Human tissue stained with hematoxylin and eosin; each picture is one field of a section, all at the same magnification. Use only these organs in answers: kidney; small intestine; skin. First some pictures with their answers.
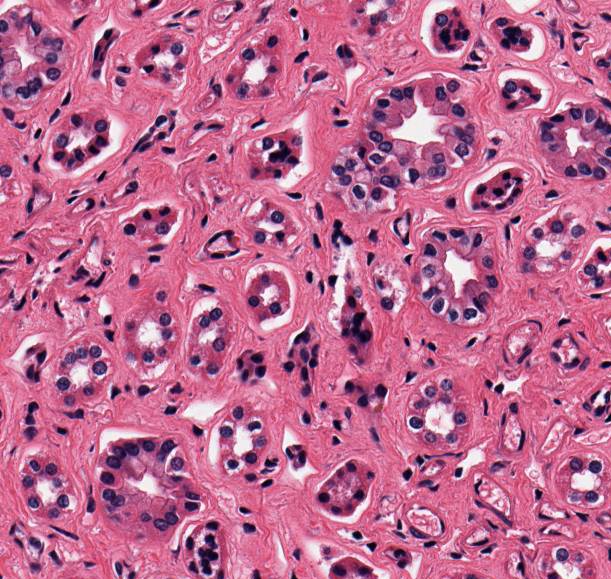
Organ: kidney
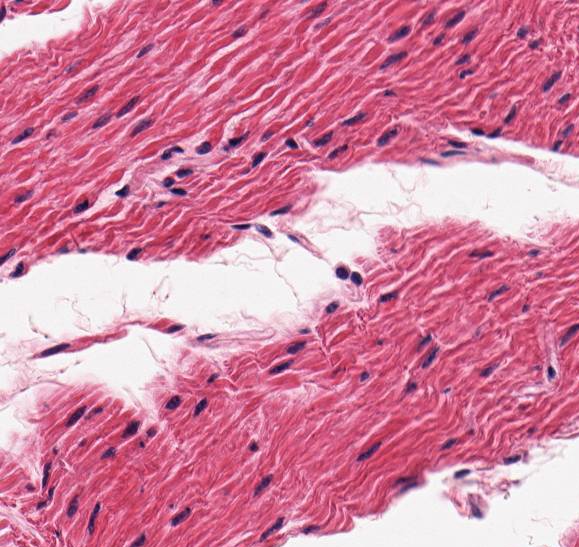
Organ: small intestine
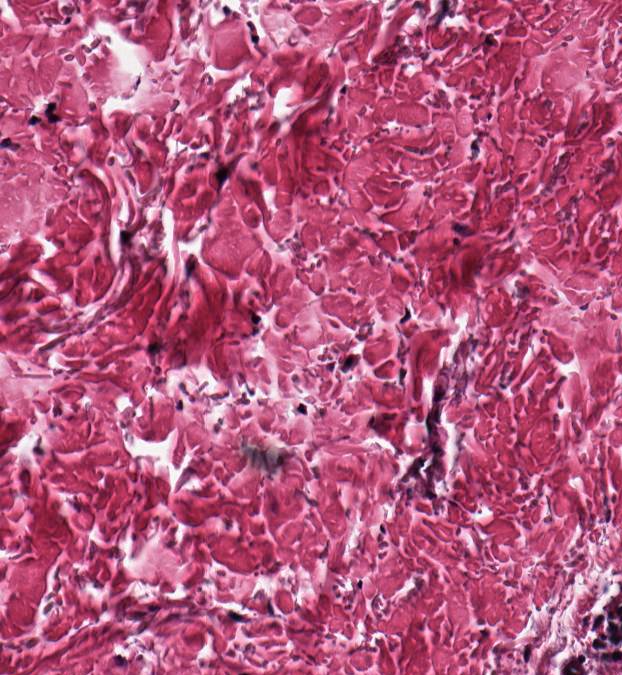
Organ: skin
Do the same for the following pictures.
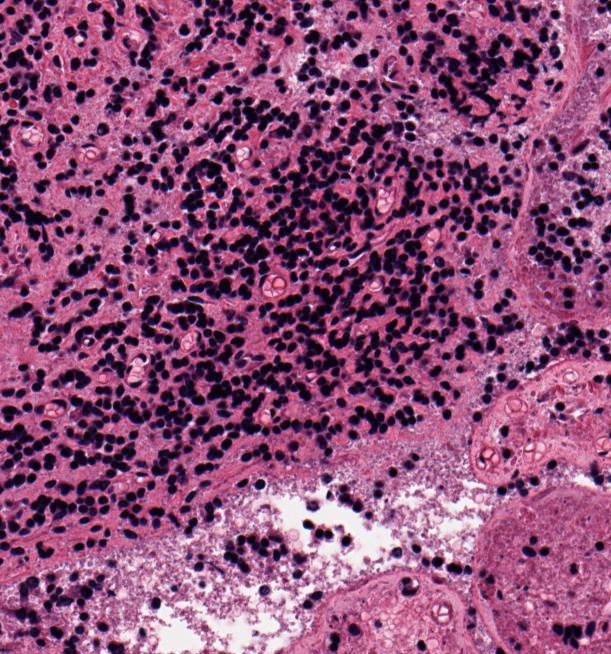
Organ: small intestine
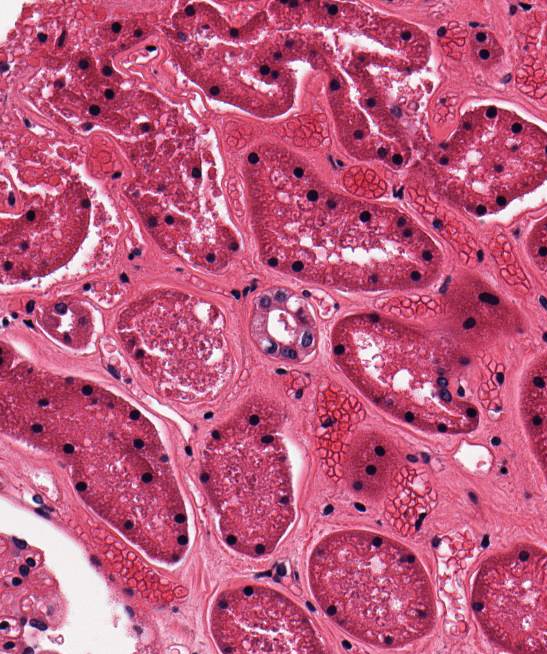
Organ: kidney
